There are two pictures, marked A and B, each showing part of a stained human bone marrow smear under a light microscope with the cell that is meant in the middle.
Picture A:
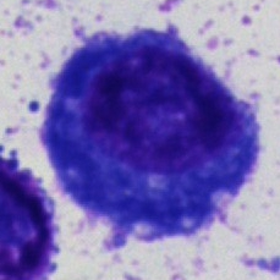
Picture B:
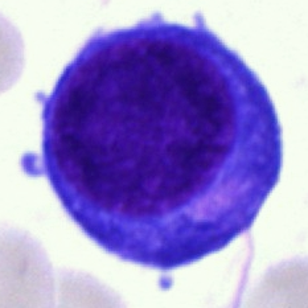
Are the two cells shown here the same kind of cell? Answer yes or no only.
yes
